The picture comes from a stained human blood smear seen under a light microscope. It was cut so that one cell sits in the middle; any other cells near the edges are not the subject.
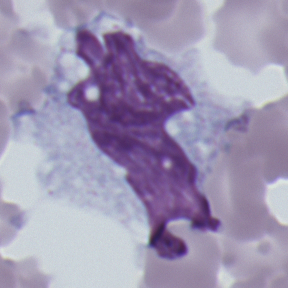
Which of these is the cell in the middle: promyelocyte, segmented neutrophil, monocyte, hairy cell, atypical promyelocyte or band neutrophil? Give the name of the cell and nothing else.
monocyte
